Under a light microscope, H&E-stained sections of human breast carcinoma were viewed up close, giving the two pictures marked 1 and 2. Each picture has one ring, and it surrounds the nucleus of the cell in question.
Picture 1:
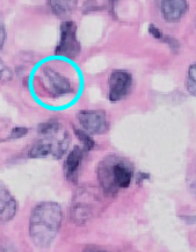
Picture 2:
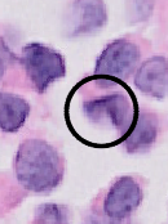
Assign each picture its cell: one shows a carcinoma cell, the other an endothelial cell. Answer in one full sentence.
In picture 1 the cell is an endothelial cell; in picture 2, a carcinoma cell.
